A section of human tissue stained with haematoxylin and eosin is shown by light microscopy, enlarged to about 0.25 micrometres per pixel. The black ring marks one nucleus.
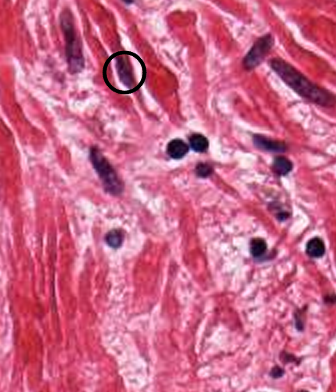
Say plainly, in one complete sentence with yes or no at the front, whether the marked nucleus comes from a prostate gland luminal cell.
No, the marked nucleus is not the nucleus belonging to a prostate gland luminal cell.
